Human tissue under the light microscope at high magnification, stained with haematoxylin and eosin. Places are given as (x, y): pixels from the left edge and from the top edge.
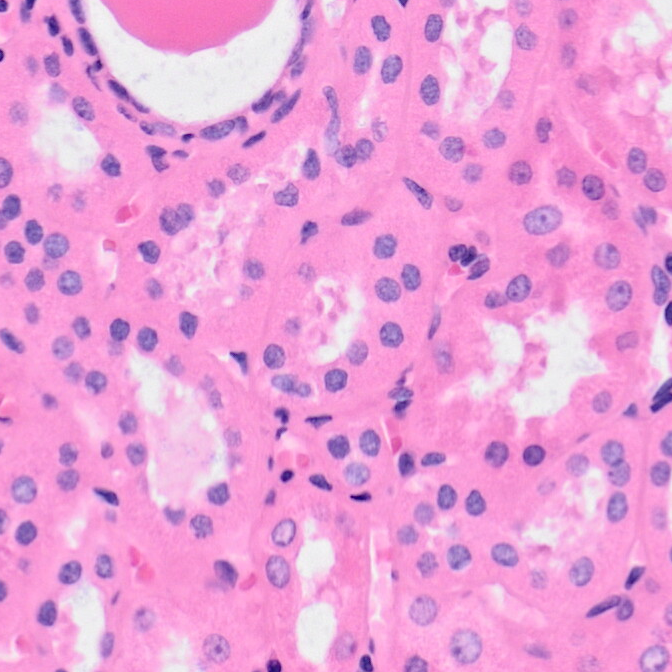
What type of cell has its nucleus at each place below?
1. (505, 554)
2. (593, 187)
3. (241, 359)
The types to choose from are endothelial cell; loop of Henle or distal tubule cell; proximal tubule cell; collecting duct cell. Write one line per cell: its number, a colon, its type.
1: loop of Henle or distal tubule cell
2: proximal tubule cell
3: endothelial cell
